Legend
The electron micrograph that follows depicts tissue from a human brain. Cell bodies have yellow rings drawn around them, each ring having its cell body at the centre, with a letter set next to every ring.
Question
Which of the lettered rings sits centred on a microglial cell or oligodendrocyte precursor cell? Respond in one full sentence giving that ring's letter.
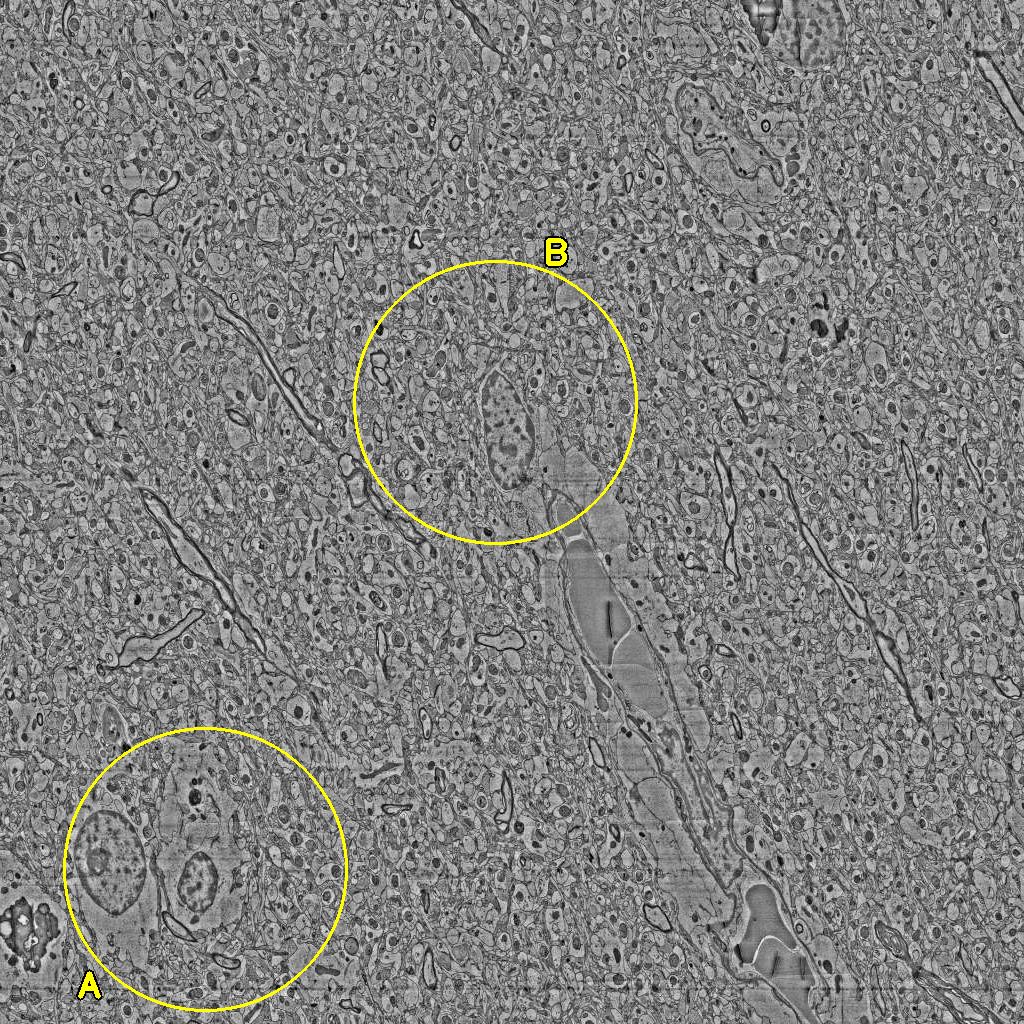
The letter B belongs to the ring centred on the cell asked about in the micrograph.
